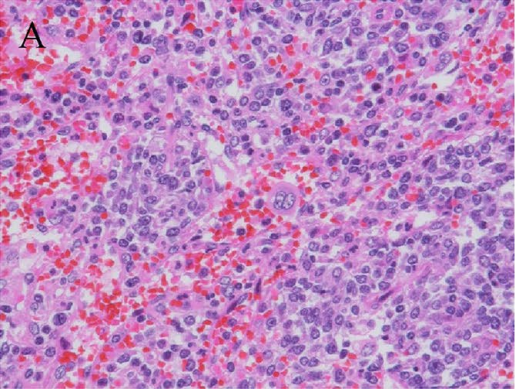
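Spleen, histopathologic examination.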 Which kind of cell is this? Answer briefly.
tumor cells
